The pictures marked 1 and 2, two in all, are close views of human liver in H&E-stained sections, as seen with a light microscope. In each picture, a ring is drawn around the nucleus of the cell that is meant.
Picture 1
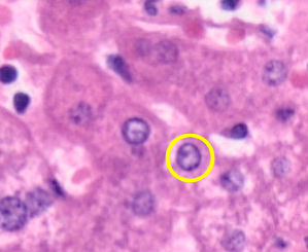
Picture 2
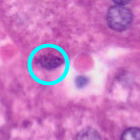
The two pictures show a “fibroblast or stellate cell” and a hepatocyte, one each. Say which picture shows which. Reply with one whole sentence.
Picture 1 is of a hepatocyte, and picture 2 is of a “fibroblast or stellate cell”.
